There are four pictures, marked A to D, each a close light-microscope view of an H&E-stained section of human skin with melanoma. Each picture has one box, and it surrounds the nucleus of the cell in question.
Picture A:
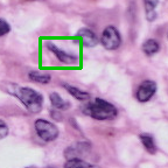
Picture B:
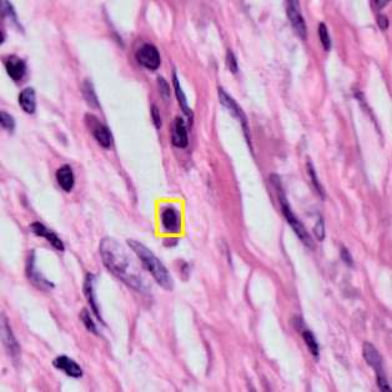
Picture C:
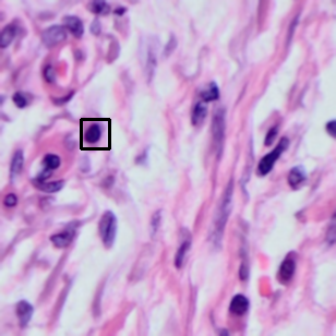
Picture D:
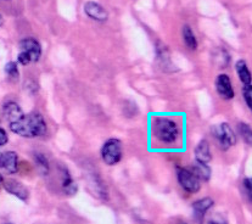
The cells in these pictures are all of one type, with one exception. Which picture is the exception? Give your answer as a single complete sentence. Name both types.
The different one is picture A; it shows a “fibroblast or myofibroblast”, whereas all the others show plasma cells.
